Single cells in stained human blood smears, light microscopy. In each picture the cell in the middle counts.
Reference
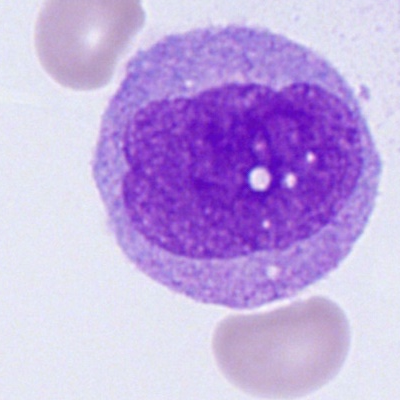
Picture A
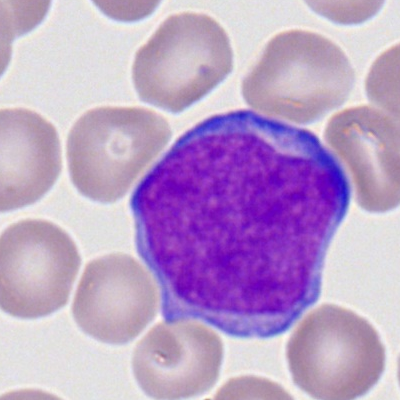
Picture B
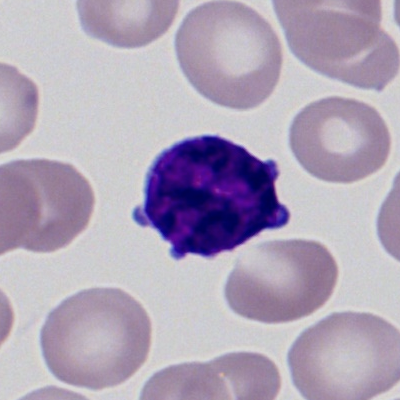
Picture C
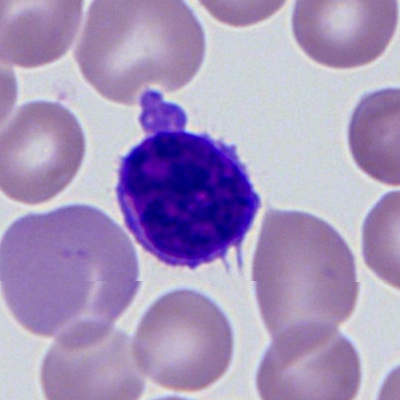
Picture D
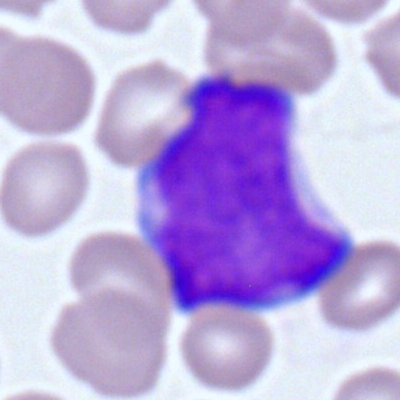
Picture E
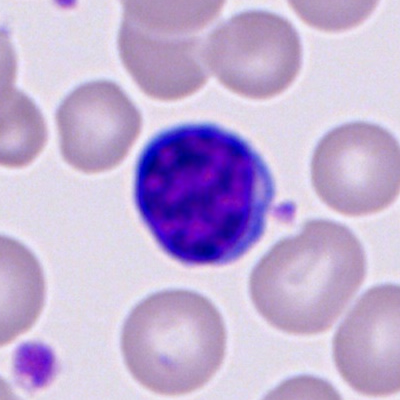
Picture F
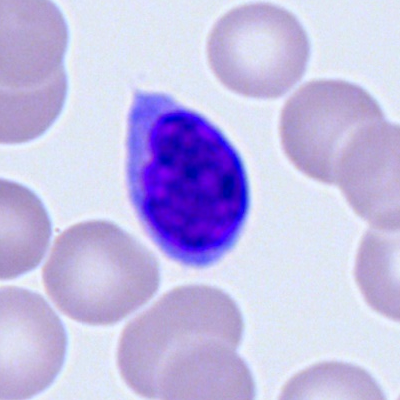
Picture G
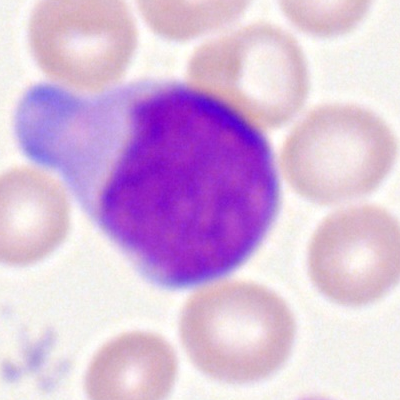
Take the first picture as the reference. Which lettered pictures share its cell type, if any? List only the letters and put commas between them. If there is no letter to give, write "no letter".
A, D, G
